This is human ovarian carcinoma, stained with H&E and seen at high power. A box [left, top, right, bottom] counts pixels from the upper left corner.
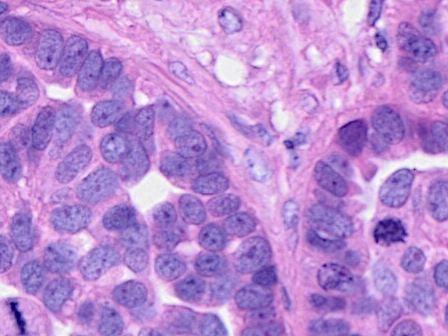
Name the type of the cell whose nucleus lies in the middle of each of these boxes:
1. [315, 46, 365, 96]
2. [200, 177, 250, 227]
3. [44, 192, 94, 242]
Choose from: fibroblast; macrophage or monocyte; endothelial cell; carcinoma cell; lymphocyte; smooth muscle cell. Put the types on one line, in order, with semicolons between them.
fibroblast; carcinoma cell; carcinoma cell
